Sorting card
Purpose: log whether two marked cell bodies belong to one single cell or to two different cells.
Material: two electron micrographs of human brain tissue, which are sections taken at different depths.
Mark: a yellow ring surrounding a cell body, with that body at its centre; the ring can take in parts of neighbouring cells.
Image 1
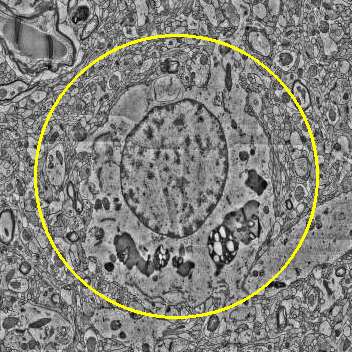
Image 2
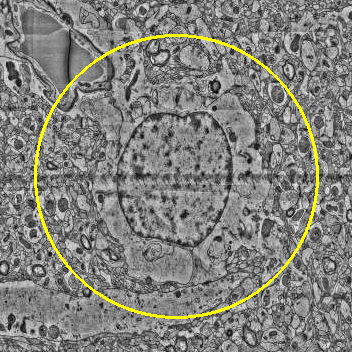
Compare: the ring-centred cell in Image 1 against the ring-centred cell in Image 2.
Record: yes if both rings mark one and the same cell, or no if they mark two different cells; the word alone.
yes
